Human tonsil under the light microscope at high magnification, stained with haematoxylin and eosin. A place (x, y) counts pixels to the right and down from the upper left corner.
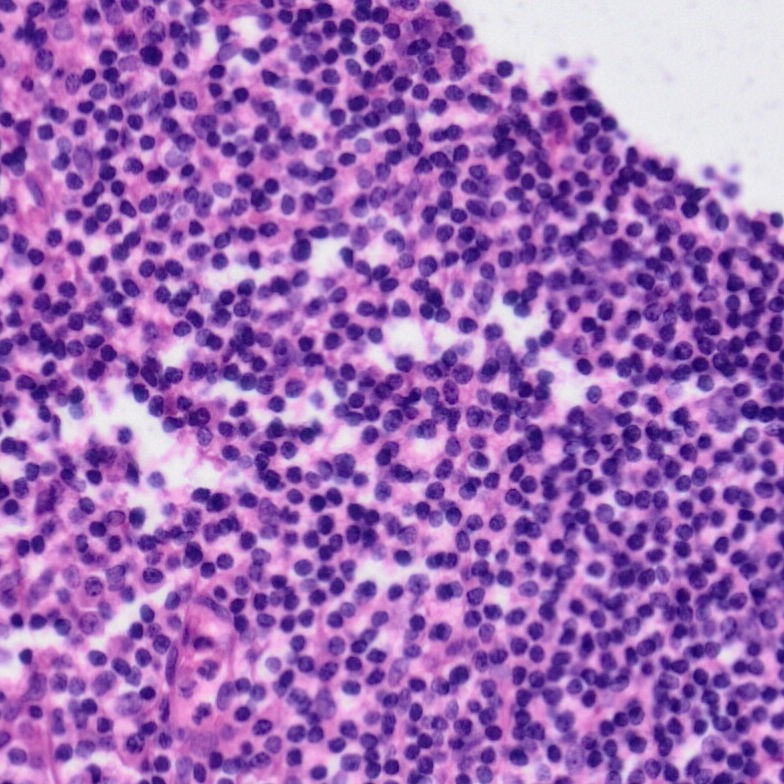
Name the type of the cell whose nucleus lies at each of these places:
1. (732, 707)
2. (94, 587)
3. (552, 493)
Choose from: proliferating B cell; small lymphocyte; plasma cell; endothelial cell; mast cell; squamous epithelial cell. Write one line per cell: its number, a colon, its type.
1: small lymphocyte
2: plasma cell
3: small lymphocyte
